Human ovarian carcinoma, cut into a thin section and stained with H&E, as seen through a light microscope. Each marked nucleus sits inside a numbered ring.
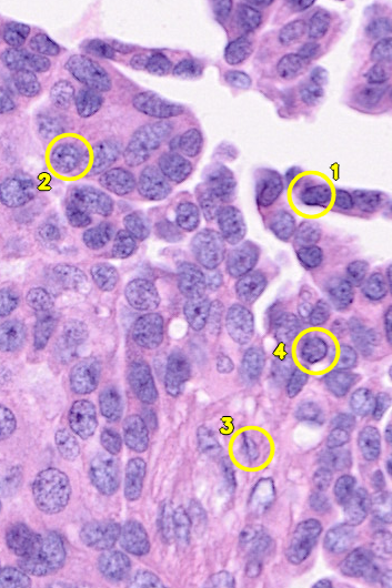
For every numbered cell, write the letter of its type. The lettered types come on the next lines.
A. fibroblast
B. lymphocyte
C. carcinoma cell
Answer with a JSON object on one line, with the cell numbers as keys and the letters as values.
{"1": "C", "2": "C", "3": "A", "4": "C"}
